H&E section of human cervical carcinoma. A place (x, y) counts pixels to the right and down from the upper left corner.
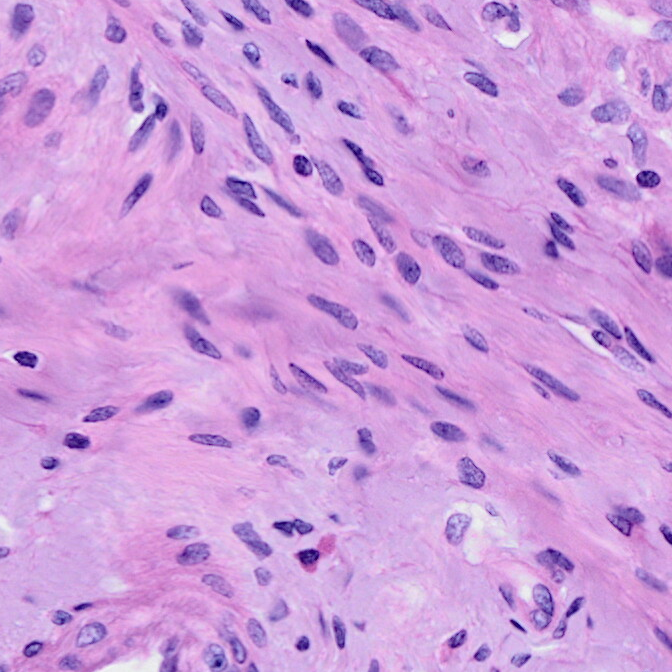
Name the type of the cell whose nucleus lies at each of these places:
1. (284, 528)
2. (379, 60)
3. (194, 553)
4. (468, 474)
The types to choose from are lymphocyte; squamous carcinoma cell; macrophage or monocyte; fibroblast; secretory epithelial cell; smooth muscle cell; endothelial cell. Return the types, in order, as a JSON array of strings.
["fibroblast", "fibroblast", "smooth muscle cell", "fibroblast"]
